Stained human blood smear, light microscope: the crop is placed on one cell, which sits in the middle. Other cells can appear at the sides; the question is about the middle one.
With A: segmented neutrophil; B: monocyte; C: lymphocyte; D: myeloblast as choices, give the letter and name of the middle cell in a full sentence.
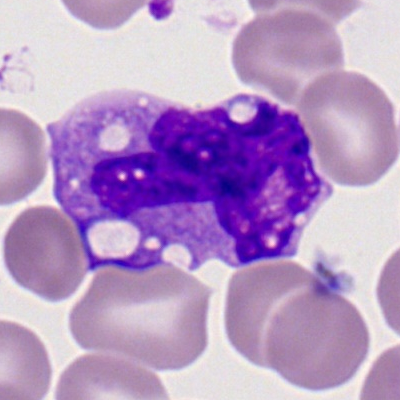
The correct option here is B; the middle cell is a monocyte.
